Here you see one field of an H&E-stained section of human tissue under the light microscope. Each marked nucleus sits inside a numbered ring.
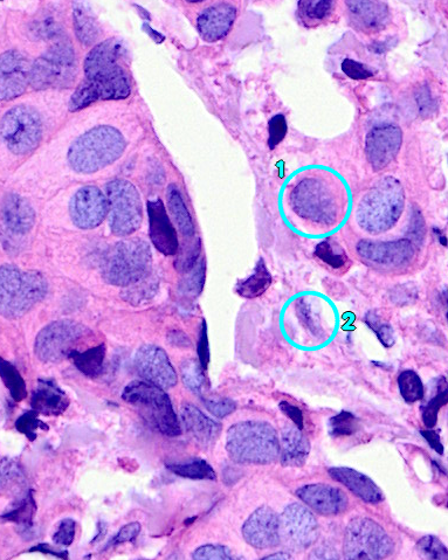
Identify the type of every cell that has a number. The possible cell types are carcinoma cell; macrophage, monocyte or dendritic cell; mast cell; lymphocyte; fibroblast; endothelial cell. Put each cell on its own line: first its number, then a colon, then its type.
1: carcinoma cell
2: fibroblast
